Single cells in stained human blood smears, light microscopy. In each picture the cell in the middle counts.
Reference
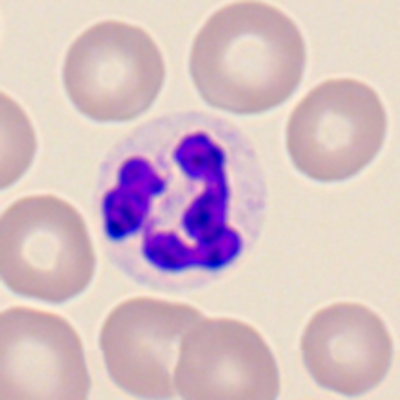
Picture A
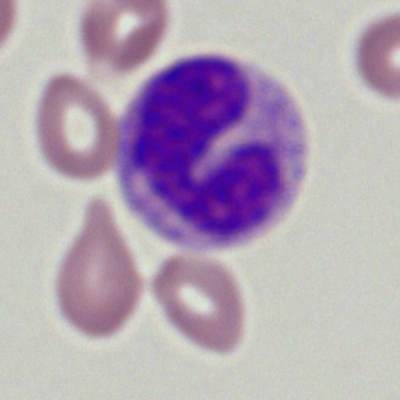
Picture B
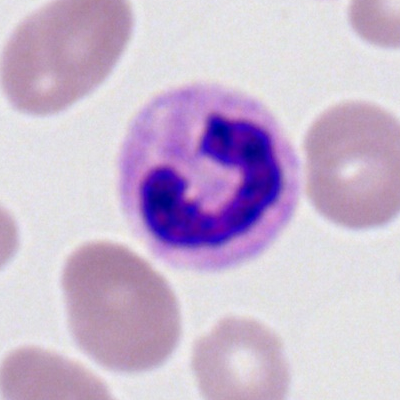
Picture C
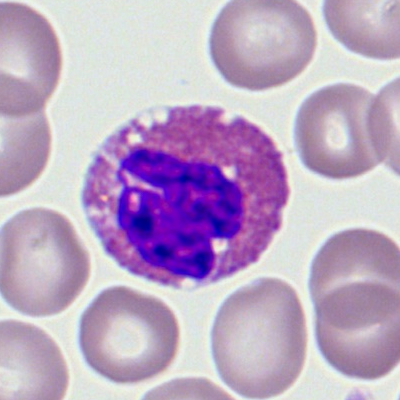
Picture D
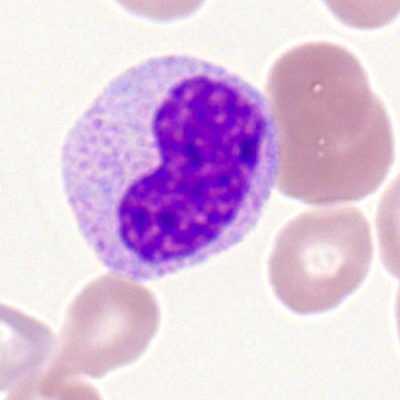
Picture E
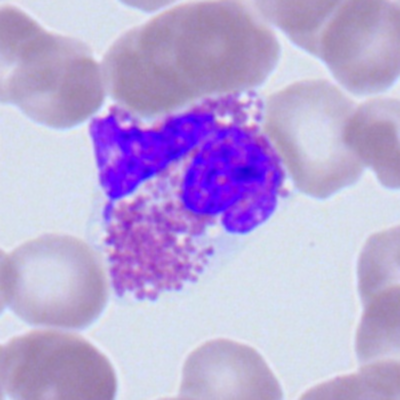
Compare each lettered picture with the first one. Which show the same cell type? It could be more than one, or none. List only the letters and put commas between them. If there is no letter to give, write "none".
none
